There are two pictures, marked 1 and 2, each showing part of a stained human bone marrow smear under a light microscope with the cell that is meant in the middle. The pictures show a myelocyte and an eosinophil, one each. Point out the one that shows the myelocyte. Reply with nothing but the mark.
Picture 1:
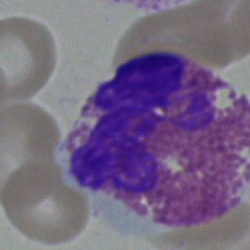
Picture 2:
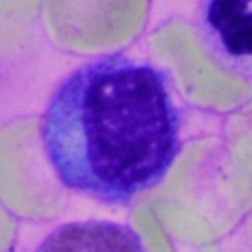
2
